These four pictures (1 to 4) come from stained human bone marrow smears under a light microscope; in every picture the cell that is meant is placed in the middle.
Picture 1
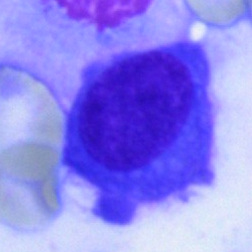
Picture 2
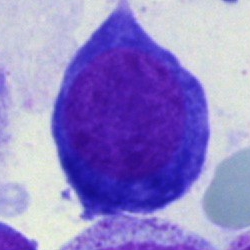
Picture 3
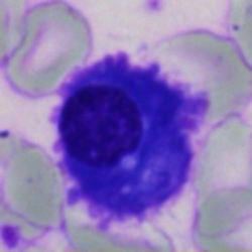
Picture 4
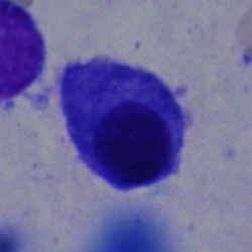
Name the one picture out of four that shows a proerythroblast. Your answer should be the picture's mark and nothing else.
2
